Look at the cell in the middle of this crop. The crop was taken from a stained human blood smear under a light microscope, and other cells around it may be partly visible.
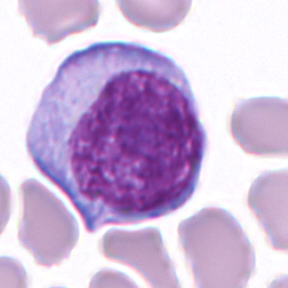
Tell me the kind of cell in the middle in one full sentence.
To answer, the cell in the center of the crop is a plasma cell.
